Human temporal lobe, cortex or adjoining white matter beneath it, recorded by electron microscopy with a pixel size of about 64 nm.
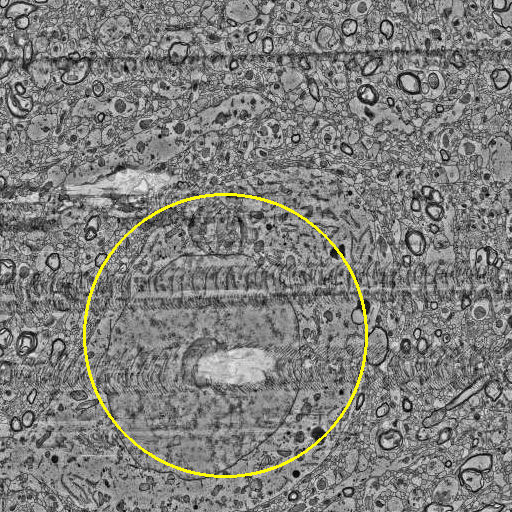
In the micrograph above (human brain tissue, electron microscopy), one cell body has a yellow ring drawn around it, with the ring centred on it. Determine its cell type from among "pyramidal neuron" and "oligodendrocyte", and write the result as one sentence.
The cell whose body is ringed is a pyramidal neuron.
